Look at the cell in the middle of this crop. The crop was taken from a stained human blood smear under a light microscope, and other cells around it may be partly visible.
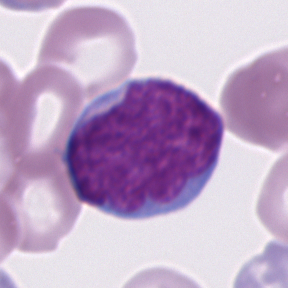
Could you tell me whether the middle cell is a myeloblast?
yes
